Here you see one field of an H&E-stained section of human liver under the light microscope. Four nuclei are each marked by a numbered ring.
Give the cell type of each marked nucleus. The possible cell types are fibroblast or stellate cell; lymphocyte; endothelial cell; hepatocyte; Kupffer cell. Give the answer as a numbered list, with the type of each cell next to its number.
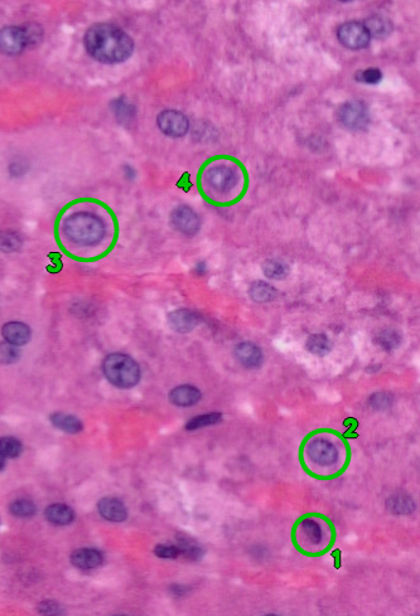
1. fibroblast or stellate cell
2. hepatocyte
3. hepatocyte
4. hepatocyte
